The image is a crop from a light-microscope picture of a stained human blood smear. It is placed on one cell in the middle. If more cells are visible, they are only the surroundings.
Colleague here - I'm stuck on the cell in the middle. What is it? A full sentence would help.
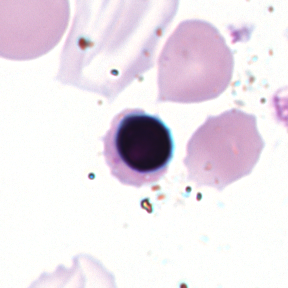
The cell of interest, located centrally, is a normoblast.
